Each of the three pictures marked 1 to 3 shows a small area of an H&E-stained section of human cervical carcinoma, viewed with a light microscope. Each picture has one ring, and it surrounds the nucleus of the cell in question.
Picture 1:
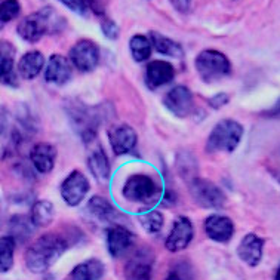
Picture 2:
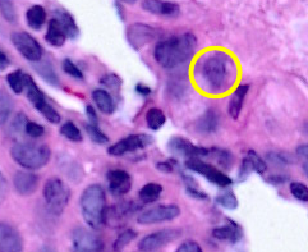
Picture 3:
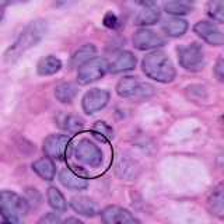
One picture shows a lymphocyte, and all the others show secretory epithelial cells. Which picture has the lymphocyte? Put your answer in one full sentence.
The cell in picture 1 is the lymphocyte.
